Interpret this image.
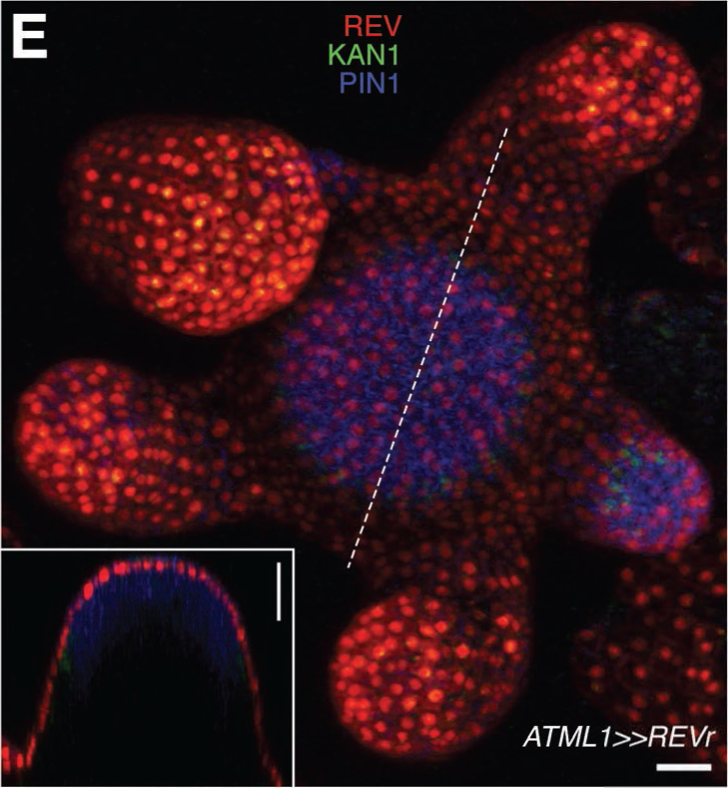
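Shoot meristem seen from above, a central dome ringed by rounded lateral bulges. Densely packed round nuclei glow red across the surface, brightest over the bulges, while a diffuse blue signal fills the centre of the dome. In the longitudinal section the red nuclei lie in a single outermost cell layer, with blue signal in the tissue beneath.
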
